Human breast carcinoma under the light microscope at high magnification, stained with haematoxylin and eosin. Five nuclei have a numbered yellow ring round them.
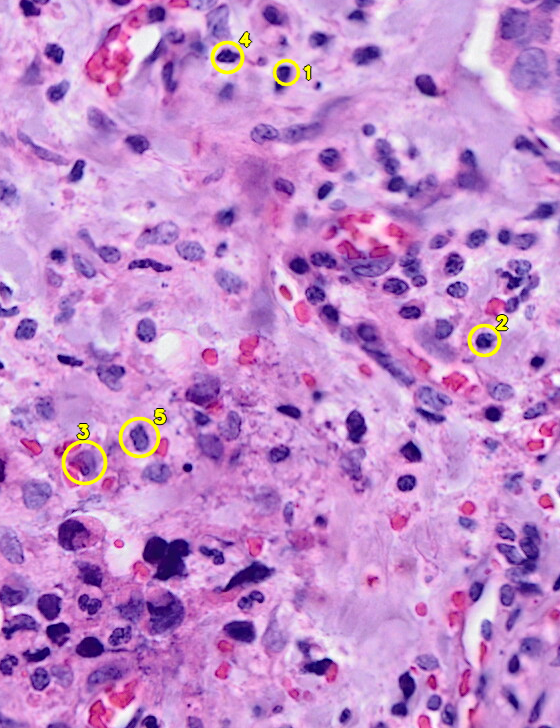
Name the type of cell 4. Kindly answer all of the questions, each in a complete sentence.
Classified as a lymphocyte is the cell with the number 4.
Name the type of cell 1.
Classified as a lymphocyte is the cell with the number 1.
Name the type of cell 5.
Identified as a mast cell is the cell bearing the number 5.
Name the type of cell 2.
The cell bearing label 2 corresponds to a lymphocyte.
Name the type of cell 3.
The cell referred to as 3 is an endothelial cell.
